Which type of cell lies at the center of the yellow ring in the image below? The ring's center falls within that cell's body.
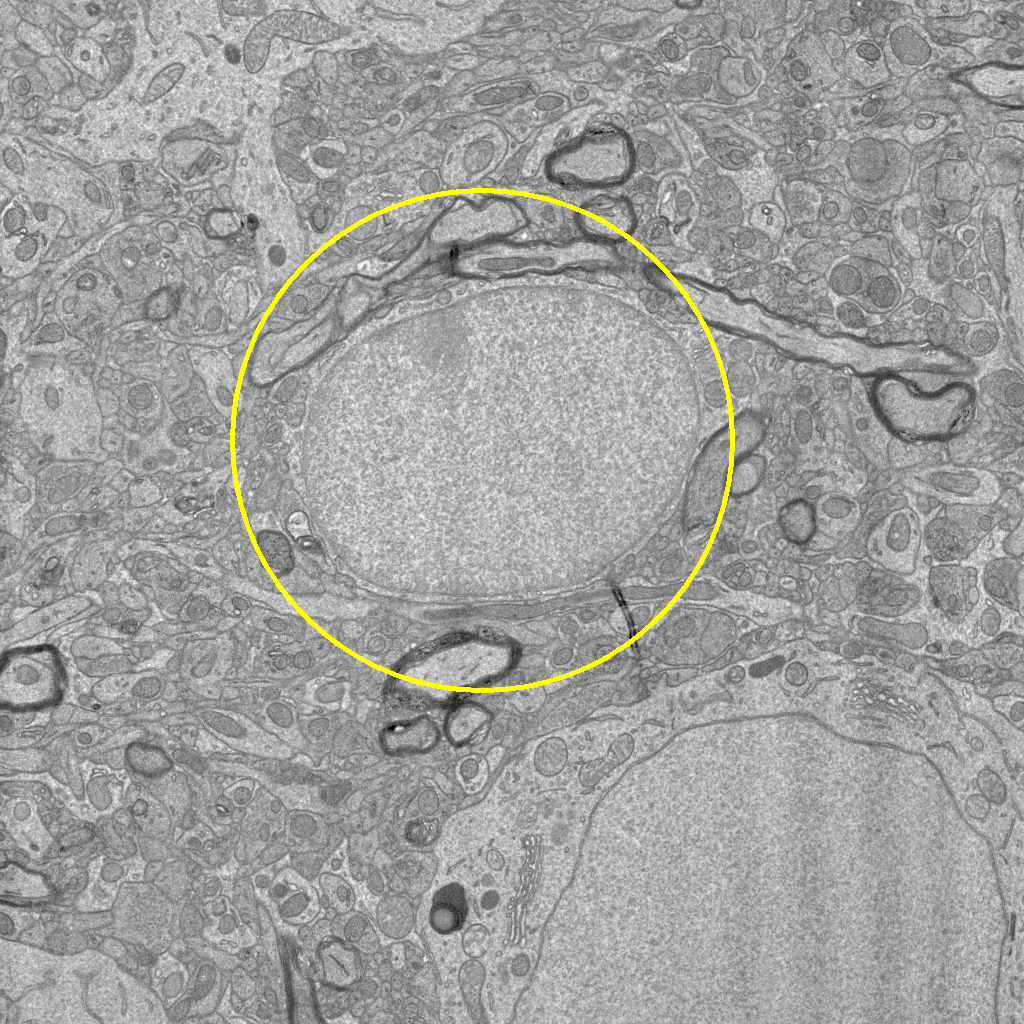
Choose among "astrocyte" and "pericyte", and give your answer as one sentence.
The cell body at the center belongs to an astrocyte.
